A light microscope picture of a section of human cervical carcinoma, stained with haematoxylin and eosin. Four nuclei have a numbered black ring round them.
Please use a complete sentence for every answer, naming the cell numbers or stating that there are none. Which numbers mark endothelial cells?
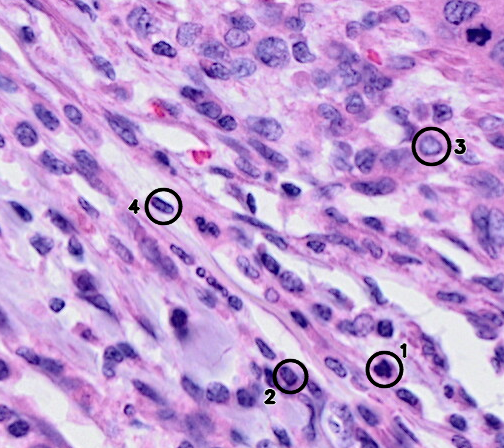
Among the cells marked with numbers, the only one that is an endothelial cell is number 3.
